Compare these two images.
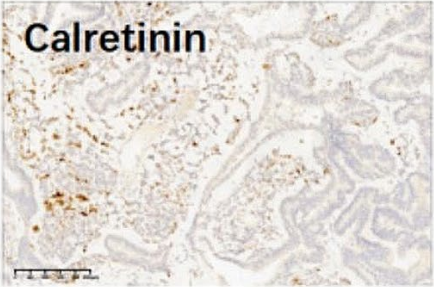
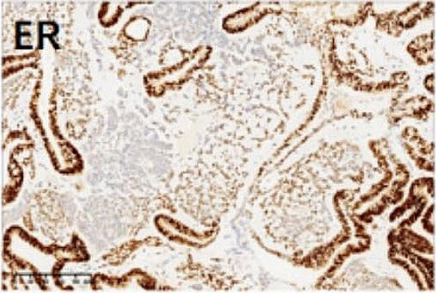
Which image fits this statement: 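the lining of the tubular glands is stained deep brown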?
The second image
